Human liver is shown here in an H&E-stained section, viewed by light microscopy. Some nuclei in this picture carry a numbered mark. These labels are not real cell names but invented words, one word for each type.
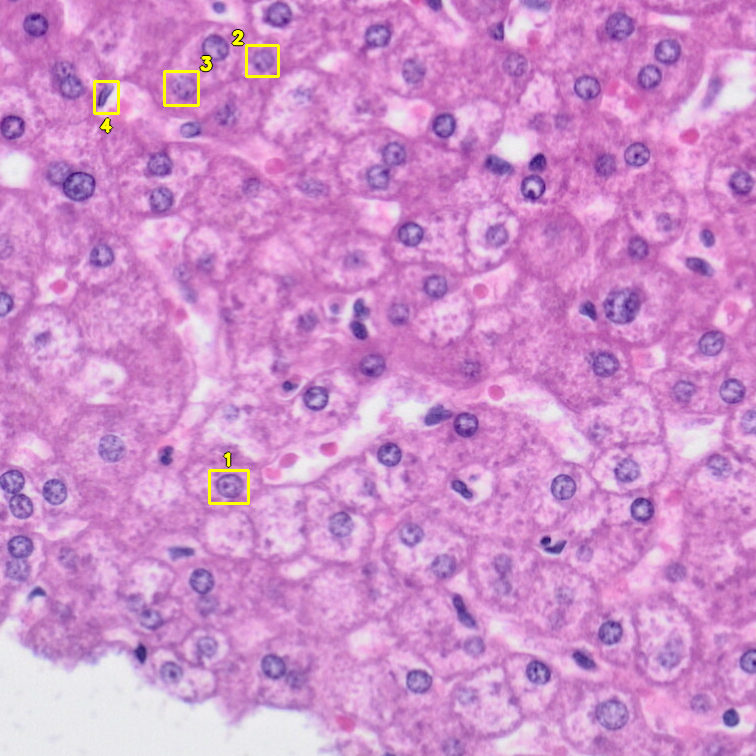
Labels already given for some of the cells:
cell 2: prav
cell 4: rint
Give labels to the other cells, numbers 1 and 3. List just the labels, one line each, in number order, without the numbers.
prav
prav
